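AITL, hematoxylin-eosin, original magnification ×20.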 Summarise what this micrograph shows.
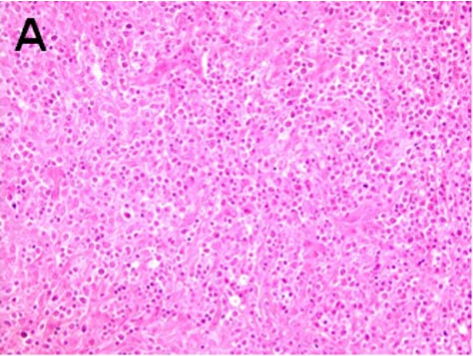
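Lymphoid tissue with a diffuse proliferation of large neoplastic cells mixed with inflammatory cells. The large cells have pale pink to clear cytoplasm and round nuclei and lie in sheets across the field. Between them are smaller cells with dark round nuclei. Thin pink strands run through the infiltrate, breaking it into irregular groups. No normal nodal architecture is left in the field.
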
